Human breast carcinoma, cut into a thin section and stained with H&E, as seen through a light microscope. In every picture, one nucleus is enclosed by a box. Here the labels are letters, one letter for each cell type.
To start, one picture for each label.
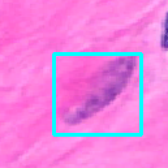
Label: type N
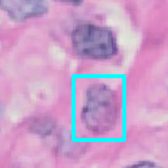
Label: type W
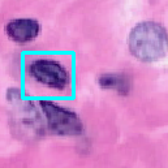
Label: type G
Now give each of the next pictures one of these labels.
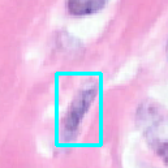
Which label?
type N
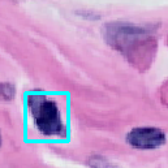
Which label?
type G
